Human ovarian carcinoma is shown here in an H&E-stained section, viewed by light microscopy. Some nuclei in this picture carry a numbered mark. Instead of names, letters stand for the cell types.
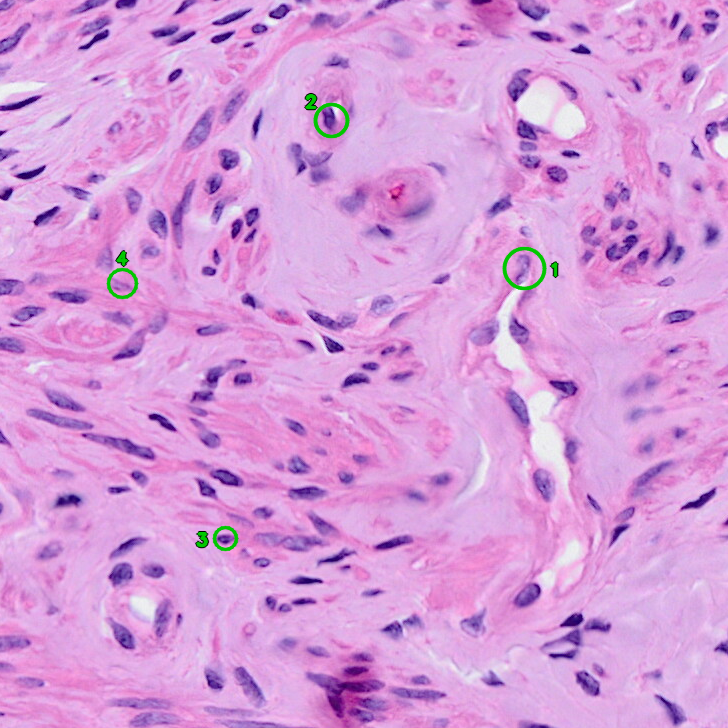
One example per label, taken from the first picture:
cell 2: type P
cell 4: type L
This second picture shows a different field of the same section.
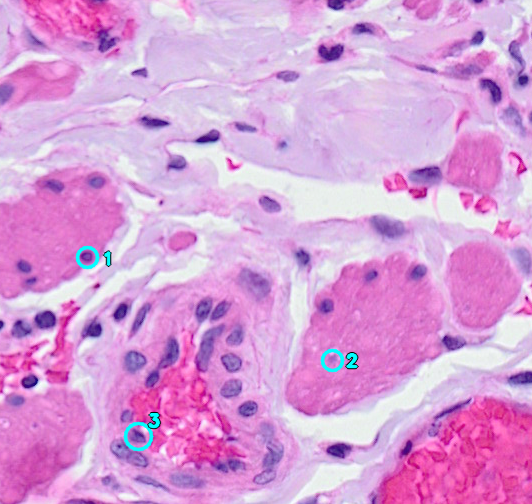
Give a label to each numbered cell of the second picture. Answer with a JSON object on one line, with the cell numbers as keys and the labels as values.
{"1": "type L", "2": "type L", "3": "type P"}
